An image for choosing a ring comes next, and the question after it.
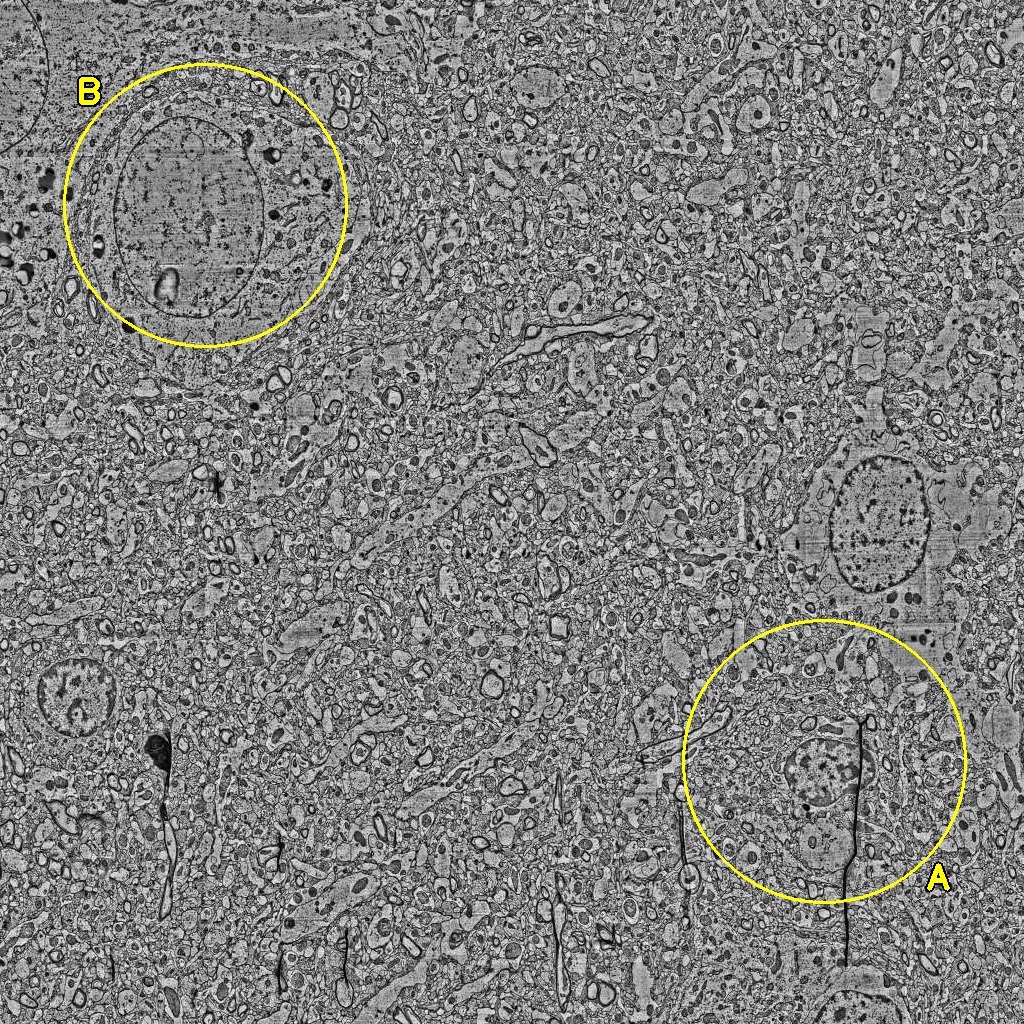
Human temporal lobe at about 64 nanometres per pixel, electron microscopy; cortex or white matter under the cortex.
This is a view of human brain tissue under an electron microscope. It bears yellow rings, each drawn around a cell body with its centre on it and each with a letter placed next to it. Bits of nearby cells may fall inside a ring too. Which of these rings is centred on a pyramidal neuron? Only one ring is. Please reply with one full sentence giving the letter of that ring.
Of all the lettered rings, B is the one centred on a cell of that kind.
